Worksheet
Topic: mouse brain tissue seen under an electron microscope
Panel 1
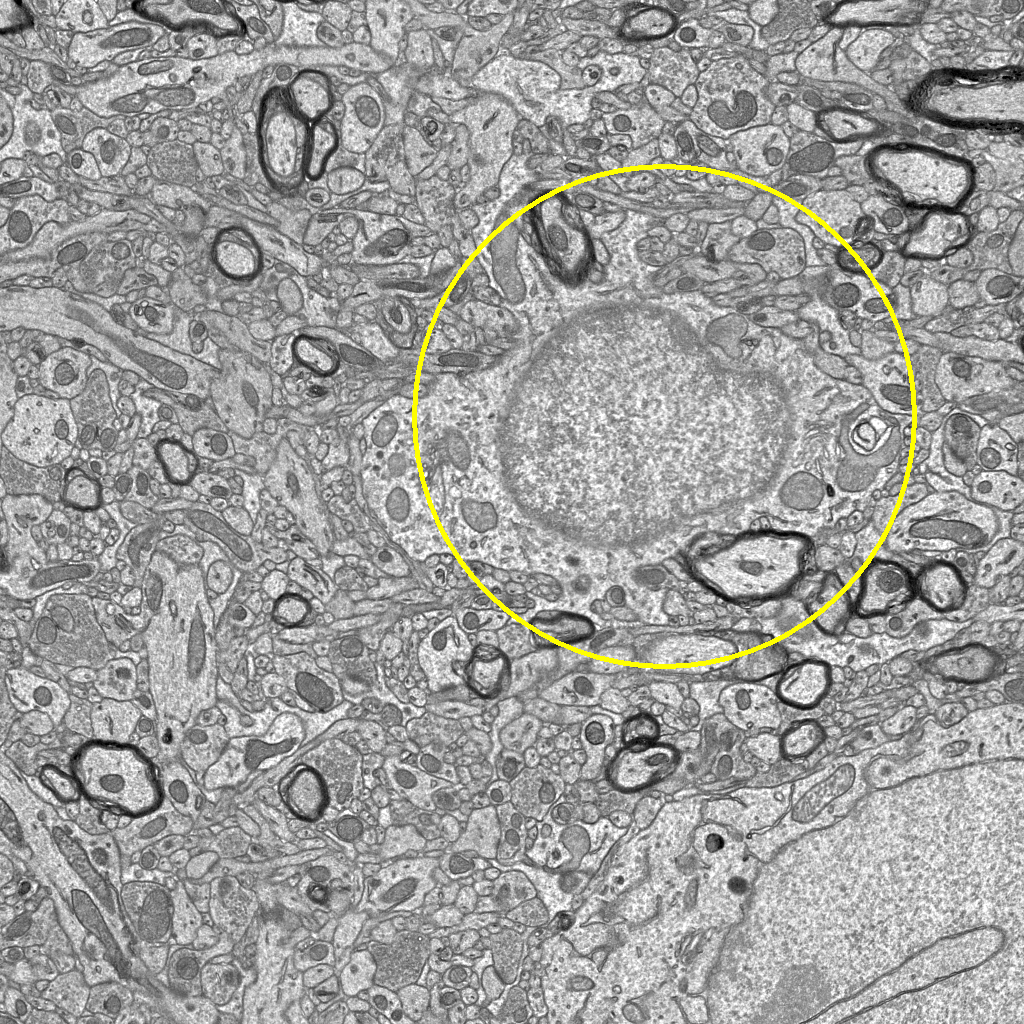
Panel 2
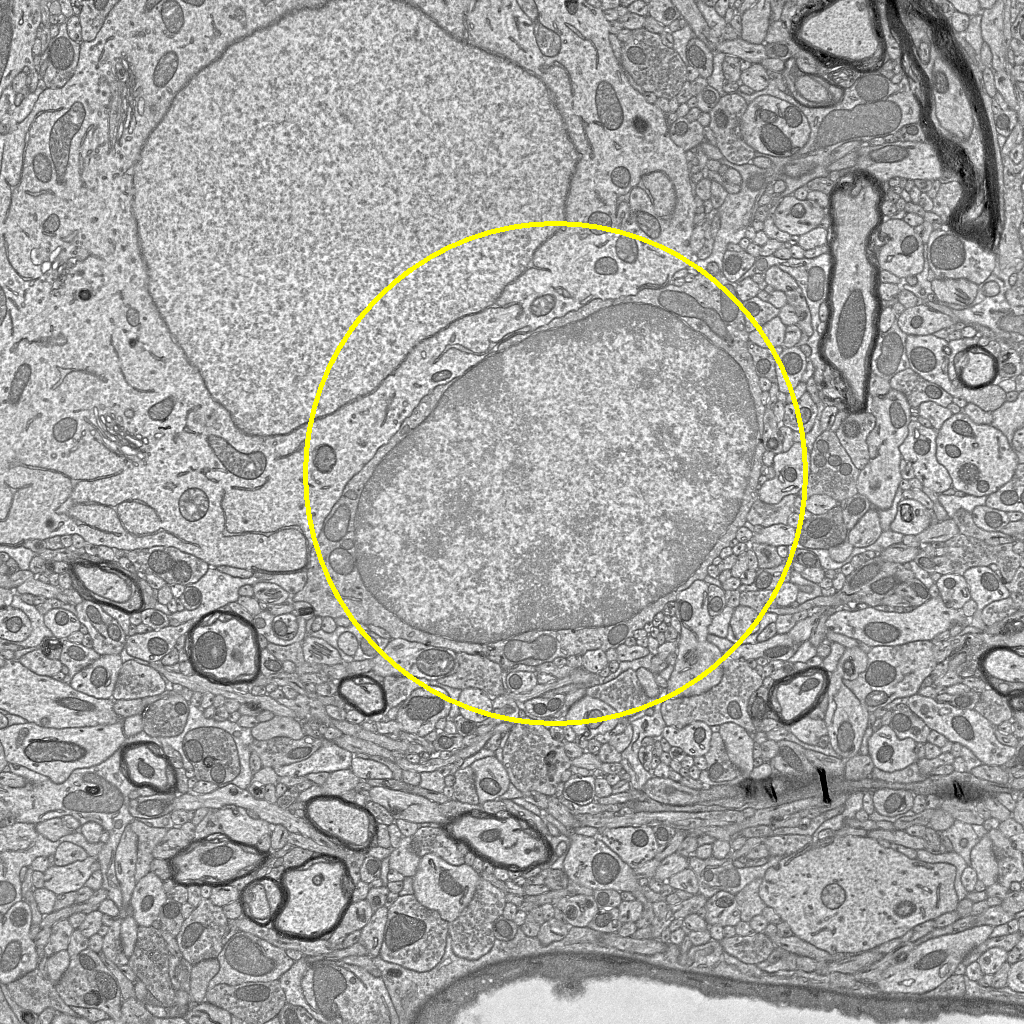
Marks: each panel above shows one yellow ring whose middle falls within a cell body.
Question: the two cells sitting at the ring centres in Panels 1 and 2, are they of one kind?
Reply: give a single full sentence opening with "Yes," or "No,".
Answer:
No, the two cells at the ring centres in Panel 1 and Panel 2 are of two kinds.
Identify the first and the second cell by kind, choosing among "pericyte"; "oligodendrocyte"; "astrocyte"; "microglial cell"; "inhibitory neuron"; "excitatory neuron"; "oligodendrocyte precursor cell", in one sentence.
The cell at the centre of the second ring is an oligodendrocyte; the first ring's cell is an astrocyte.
